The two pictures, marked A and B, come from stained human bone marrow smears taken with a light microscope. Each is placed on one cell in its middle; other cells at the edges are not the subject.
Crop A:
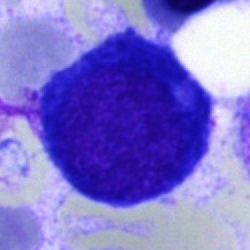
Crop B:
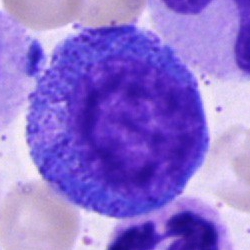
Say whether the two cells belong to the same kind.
no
